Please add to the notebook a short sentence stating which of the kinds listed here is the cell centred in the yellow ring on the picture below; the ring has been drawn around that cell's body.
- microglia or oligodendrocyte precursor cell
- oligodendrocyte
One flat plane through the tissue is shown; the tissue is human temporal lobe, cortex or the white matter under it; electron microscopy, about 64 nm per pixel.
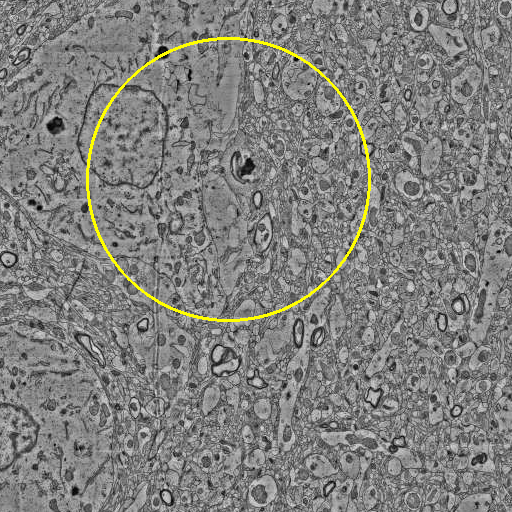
The cell centred in the yellow ring is an oligodendrocyte.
